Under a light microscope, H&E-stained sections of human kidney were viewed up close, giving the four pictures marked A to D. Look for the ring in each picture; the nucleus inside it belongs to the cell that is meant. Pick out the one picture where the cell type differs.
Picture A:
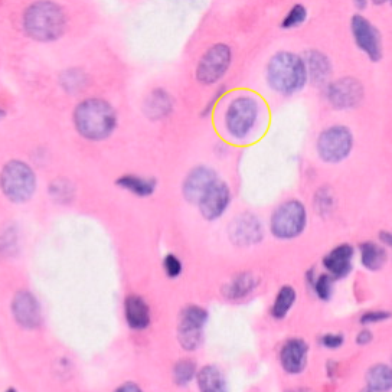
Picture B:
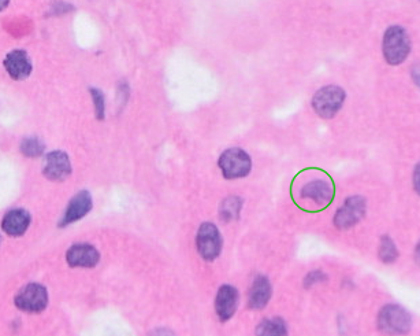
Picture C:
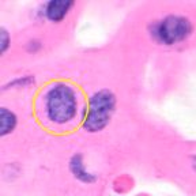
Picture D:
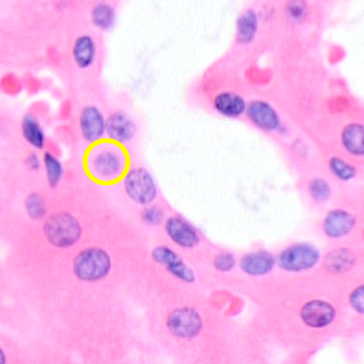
B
